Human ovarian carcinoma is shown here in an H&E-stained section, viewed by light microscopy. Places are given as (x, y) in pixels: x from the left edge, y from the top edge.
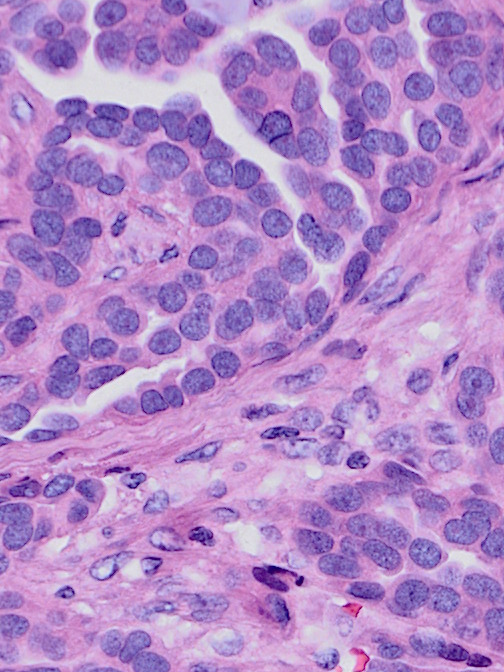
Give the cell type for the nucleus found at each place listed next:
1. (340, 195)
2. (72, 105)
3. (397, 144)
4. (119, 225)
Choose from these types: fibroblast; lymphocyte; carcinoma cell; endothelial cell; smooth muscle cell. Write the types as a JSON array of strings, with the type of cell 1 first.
["carcinoma cell", "carcinoma cell", "carcinoma cell", "fibroblast"]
